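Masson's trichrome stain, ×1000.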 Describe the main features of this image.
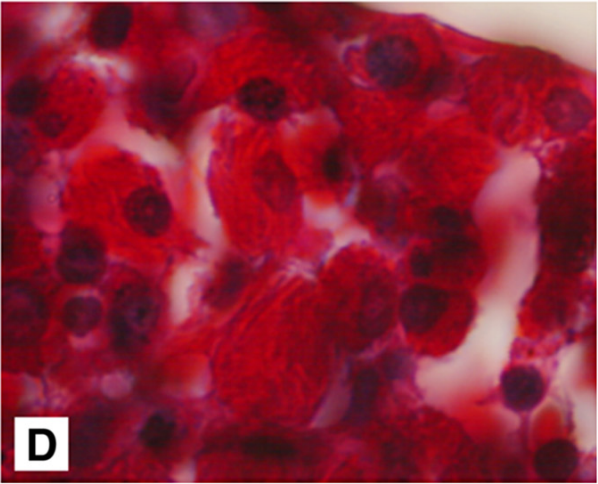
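Large cells packed closely together have cytoplasm stained an intense deep red, with fine streaks and needle-like fibrils running through it, and dark round nuclei pushed to one side. Smaller cells with dark nuclei and less cytoplasm lie between them, and clear spaces separate some groups. The red cytoplasm looks stuffed and textured rather than smooth.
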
